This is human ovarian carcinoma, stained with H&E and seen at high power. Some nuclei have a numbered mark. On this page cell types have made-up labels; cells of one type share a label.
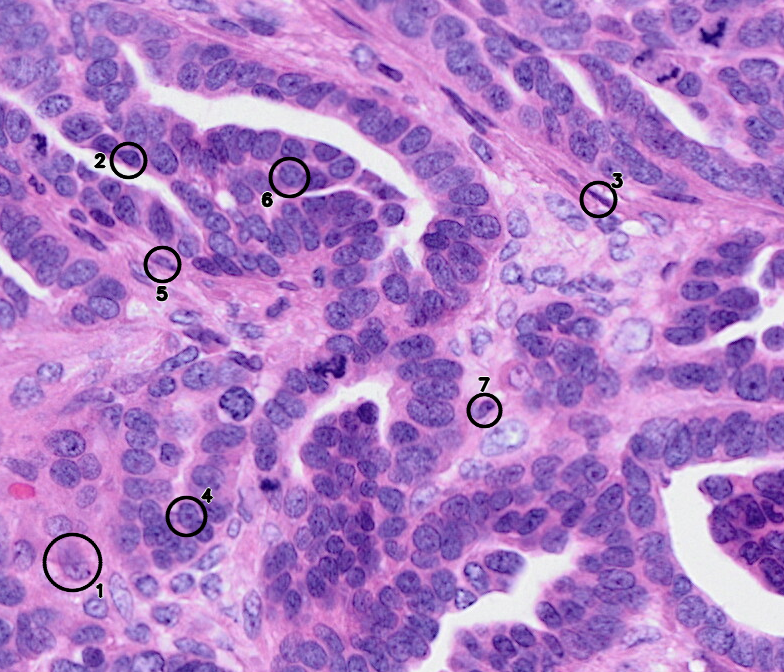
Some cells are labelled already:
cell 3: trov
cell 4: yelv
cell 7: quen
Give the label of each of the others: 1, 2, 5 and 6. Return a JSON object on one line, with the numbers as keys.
{"1": "trov", "2": "yelv", "5": "trov", "6": "yelv"}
